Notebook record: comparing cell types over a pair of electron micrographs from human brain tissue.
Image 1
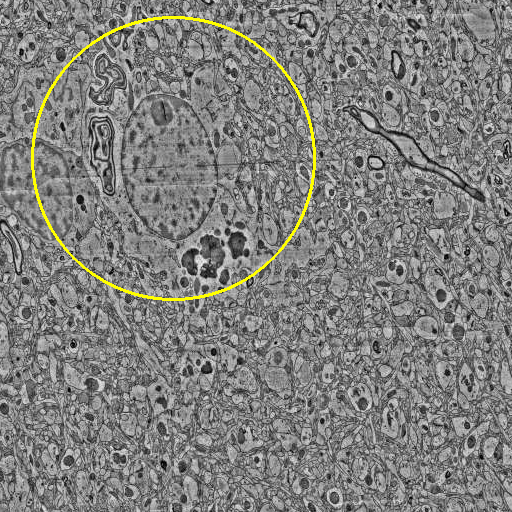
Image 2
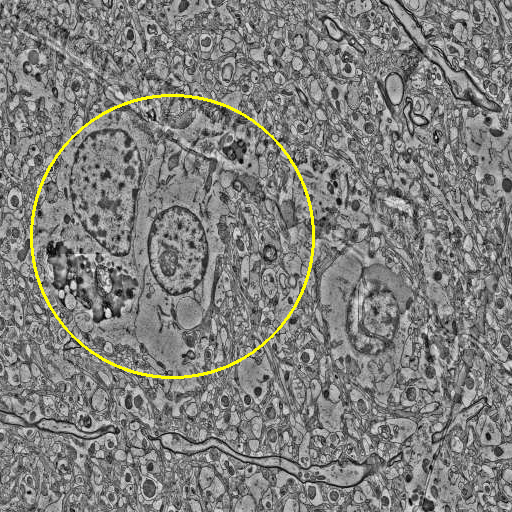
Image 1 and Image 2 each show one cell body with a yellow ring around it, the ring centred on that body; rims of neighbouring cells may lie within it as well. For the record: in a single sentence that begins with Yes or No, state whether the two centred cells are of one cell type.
Yes, one cell type is shared by the centred cells of Image 1 and Image 2.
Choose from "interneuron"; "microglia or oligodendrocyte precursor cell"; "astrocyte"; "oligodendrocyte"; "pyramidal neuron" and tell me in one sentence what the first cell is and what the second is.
The cell in the first picture is an astrocyte, and so is the one in the second.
